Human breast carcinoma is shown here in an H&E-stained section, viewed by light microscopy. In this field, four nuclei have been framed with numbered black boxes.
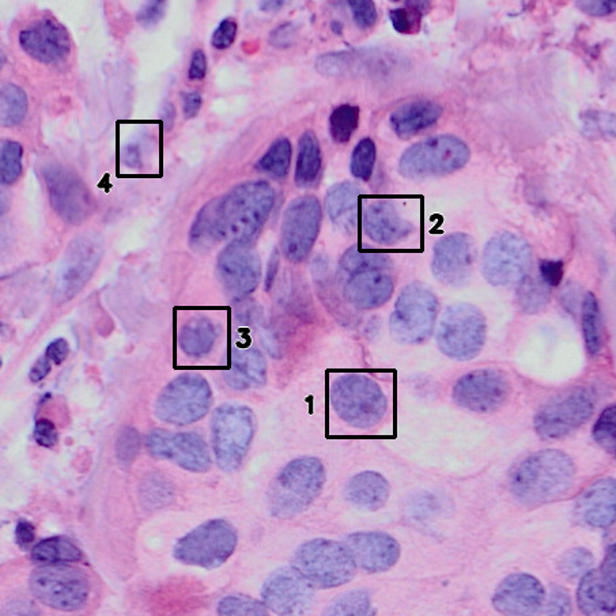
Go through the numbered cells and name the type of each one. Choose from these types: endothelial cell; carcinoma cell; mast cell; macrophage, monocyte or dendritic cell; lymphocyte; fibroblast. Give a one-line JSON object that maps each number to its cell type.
{"1": "carcinoma cell", "2": "carcinoma cell", "3": "carcinoma cell", "4": "fibroblast"}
